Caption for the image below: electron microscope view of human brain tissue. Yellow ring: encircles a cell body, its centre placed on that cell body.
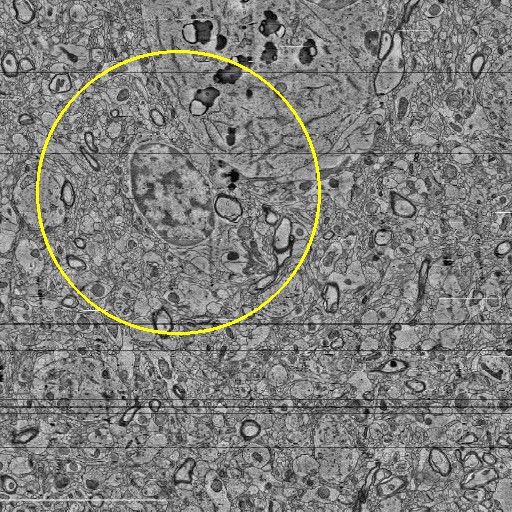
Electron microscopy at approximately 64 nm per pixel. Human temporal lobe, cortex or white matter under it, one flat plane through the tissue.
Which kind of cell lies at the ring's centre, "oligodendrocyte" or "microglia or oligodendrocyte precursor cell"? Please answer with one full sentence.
The picture shows a microglial cell or oligodendrocyte precursor cell at the centre of the yellow ring.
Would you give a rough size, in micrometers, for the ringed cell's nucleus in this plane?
In this plane the nucleus measures about 7 by 5 micrometres and is clearly longer than it is wide.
